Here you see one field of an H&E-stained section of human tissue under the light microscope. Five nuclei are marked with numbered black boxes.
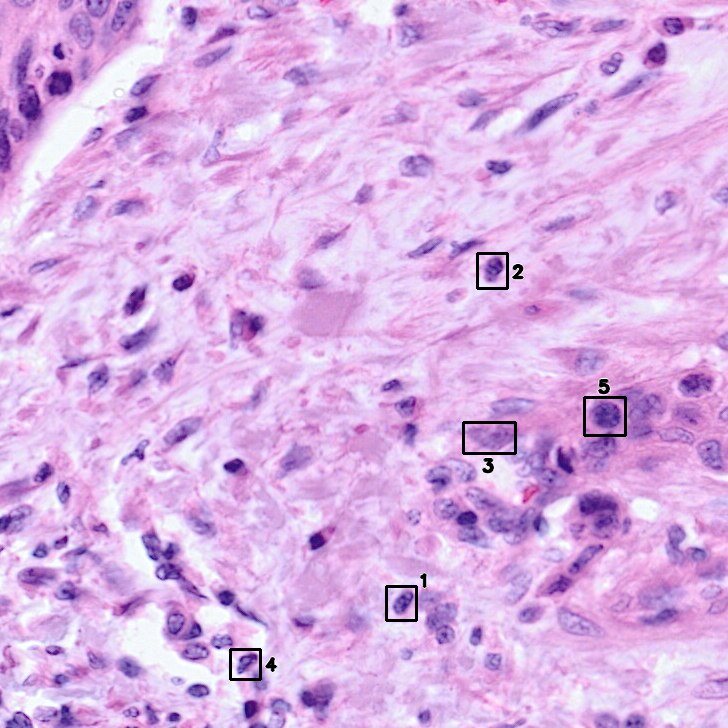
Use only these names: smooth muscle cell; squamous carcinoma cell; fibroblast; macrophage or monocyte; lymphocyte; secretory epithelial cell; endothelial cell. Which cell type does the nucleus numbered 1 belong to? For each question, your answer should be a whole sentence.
Among the marked cells, number 1 is a lymphocyte.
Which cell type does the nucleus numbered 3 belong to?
The cell identified by number 3 is an endothelial cell.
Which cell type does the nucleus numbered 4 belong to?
Among the marked nuclei, number 4 belongs to a lymphocyte.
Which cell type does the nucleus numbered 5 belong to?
Cell 5 is classified as a squamous carcinoma cell.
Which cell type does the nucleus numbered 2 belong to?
Cell 2 in the field is a lymphocyte.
